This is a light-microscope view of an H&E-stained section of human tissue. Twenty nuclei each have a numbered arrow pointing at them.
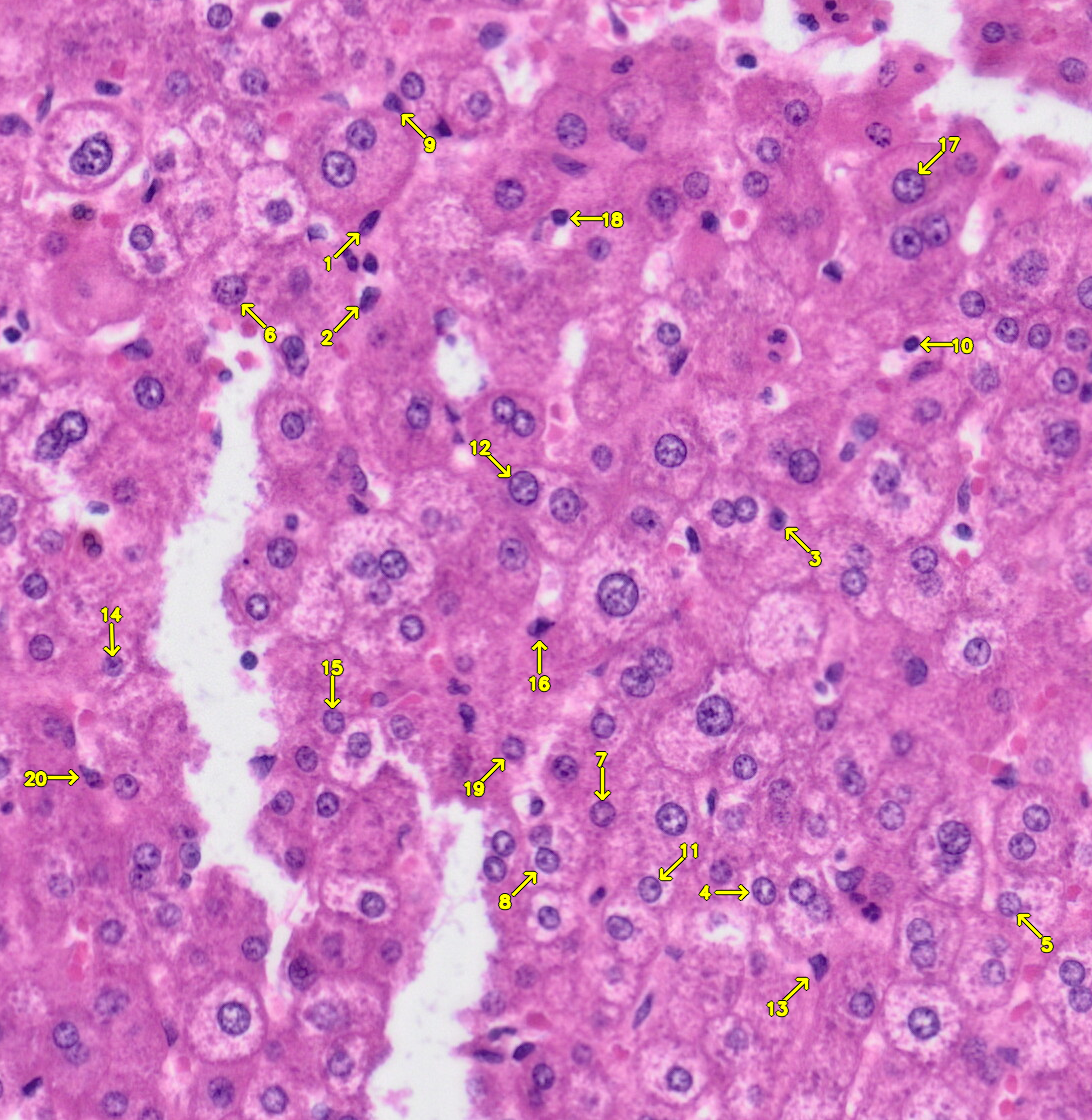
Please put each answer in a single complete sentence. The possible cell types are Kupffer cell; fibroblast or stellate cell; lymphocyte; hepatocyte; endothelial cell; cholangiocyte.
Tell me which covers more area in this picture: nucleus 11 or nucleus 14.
Nucleus 11 is larger, with an area about 1.5 times that of nucleus 14.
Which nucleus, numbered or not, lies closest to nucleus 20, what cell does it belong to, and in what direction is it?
The nearest nucleus is that of a hepatocyte and lies to the right of nucleus 20.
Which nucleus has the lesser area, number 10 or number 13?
Nucleus 10 covers less area, with nucleus 13 about 1.5 times as large.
